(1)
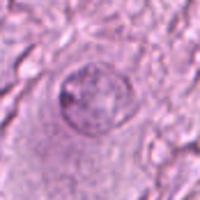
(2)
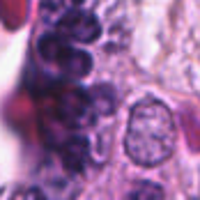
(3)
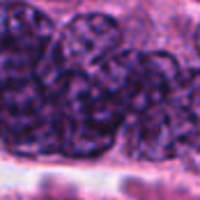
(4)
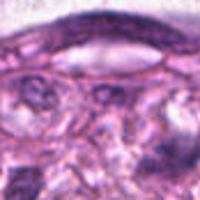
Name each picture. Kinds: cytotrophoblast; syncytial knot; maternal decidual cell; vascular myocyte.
Picture 1: maternal decidual cell
Picture 2: syncytial knot
Picture 3: syncytial knot
Picture 4: vascular myocyte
